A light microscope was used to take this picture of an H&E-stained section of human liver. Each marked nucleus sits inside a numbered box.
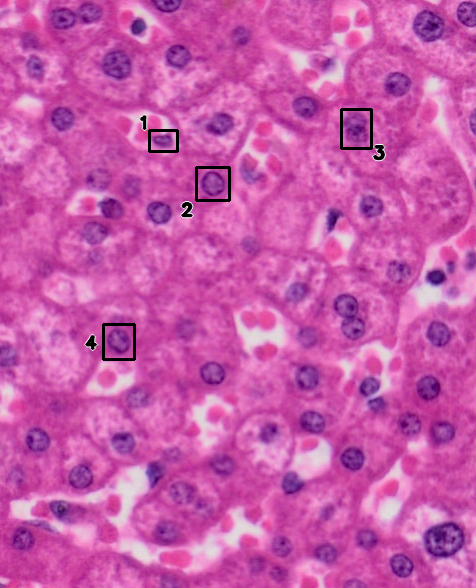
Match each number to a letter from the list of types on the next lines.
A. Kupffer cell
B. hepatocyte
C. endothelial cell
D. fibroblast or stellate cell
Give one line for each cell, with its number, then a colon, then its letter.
1: A
2: B
3: B
4: B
